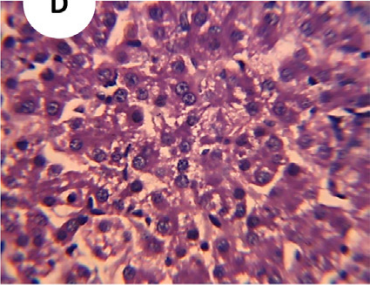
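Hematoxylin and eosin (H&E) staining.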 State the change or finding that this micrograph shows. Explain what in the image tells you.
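Hepatocytes have pale, uneven, vacuolated cytoplasm. Cell outlines and cord arrangement are disordered.
Answer: hepatocyte dystrophy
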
